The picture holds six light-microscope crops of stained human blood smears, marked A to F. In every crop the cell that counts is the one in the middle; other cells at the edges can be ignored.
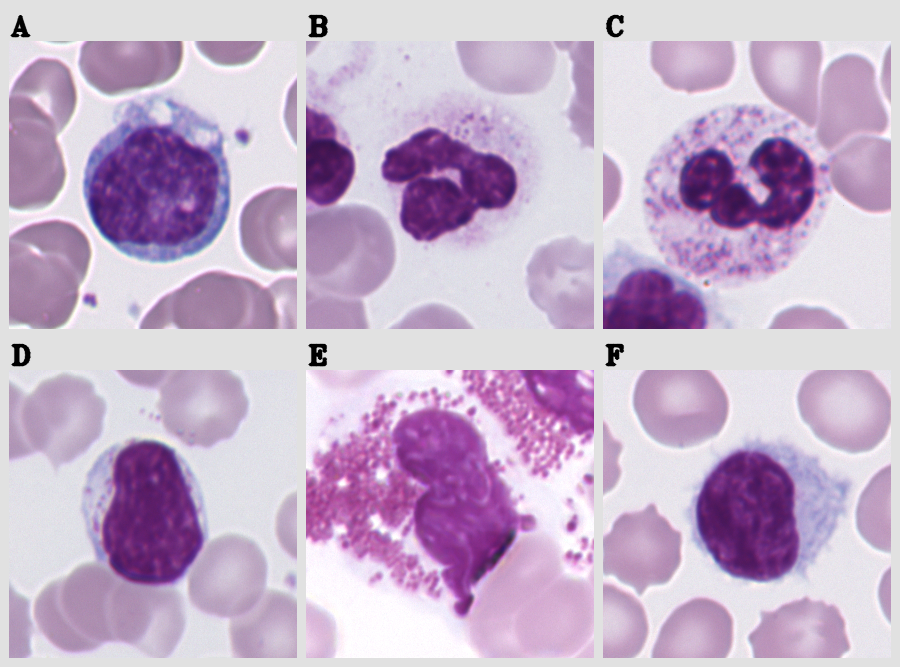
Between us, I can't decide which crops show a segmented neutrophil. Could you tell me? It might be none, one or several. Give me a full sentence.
The middle cells in the crops marked B and C are segmented neutrophils.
